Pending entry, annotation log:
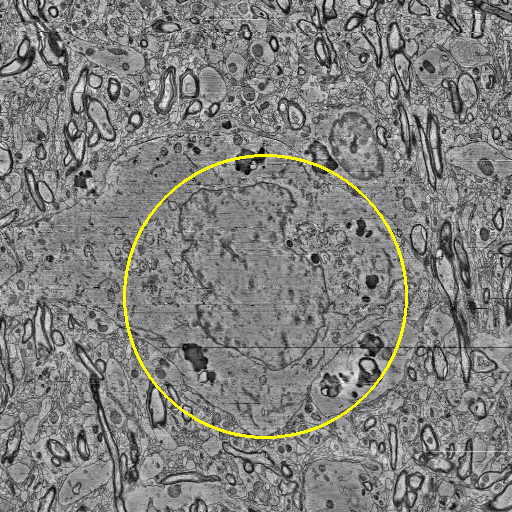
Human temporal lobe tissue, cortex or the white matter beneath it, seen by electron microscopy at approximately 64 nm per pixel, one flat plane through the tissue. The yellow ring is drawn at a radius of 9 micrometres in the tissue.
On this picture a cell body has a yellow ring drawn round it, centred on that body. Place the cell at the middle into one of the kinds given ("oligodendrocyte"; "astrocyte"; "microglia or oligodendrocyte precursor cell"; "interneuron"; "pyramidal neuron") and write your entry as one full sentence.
The cell body at the middle of the yellow ring belongs to a pyramidal neuron.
